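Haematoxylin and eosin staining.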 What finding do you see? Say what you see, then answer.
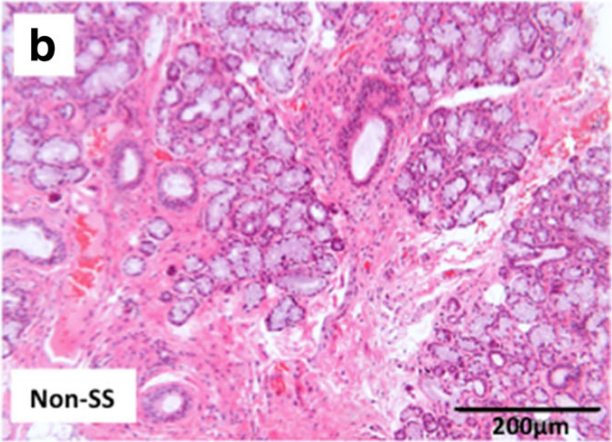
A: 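Broad bands of pink fibrous connective tissue run between groups of glandular acini. The acini are separated and fewer within the pink stroma.
Conclusion: fibrosis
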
